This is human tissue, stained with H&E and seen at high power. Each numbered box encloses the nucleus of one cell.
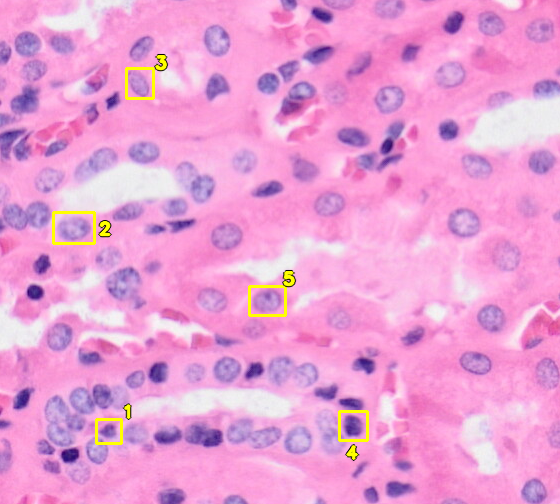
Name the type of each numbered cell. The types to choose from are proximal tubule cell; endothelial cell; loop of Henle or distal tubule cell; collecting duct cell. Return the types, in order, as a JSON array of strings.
["collecting duct cell", "loop of Henle or distal tubule cell", "proximal tubule cell", "collecting duct cell", "proximal tubule cell"]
